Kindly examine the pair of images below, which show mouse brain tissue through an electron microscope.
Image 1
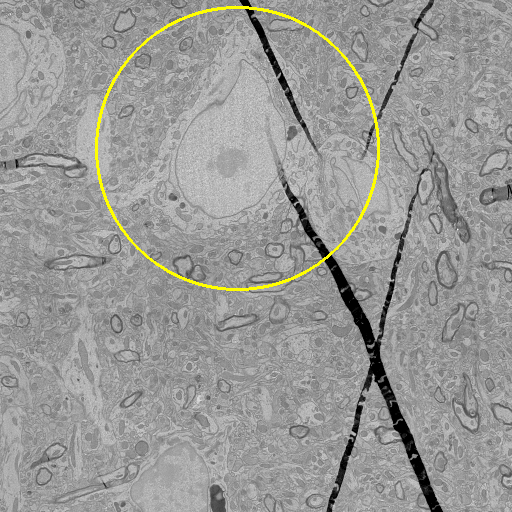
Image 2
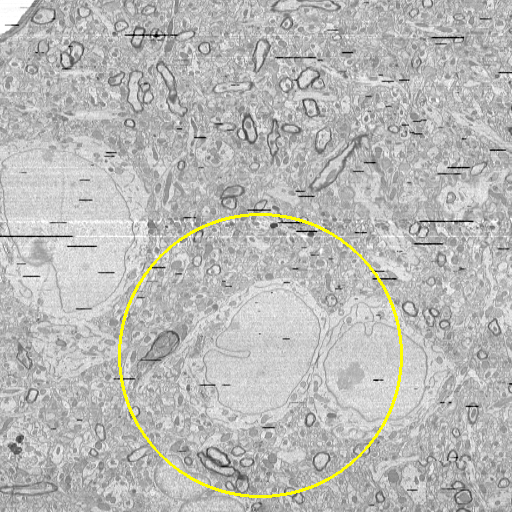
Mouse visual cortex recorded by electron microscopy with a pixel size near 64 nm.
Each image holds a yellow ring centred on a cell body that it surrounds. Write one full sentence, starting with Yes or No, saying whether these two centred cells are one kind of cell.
Yes, both cells at the centres of the yellow rings belong to one kind of cell.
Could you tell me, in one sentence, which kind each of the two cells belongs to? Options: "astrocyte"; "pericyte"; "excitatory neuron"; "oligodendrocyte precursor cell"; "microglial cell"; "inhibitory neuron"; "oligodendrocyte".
Each cell, in the first picture and the second, is an excitatory neuron.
